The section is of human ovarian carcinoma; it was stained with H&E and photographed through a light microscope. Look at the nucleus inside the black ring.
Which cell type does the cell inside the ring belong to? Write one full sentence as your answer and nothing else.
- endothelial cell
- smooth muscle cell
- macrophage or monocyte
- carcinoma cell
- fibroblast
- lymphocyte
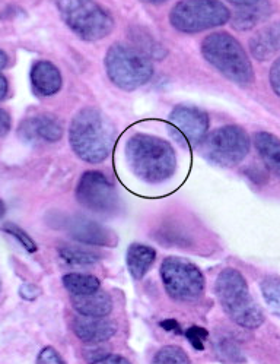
Recorded by type, the cell inside the ring is a carcinoma cell.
